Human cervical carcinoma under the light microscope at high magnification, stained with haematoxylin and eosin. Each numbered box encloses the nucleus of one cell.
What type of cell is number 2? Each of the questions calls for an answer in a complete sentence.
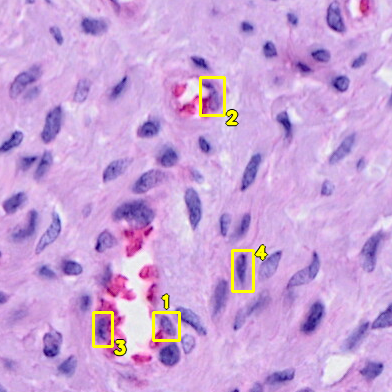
The cell that bears the number 2 is an endothelial cell.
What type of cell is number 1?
The cell that carries the label 1 is an endothelial cell.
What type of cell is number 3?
In this section, number 3 marks an endothelial cell.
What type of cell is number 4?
The cell that bears the number 4 is a fibroblast.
